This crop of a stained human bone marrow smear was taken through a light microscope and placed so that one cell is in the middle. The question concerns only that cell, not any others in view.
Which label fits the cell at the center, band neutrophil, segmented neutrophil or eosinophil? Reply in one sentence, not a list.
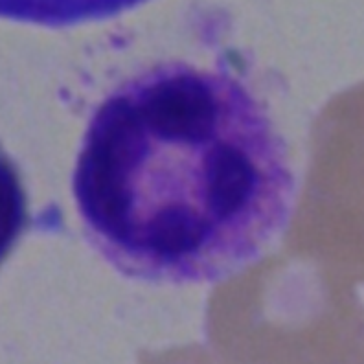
The middle of this crop holds a segmented neutrophil.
